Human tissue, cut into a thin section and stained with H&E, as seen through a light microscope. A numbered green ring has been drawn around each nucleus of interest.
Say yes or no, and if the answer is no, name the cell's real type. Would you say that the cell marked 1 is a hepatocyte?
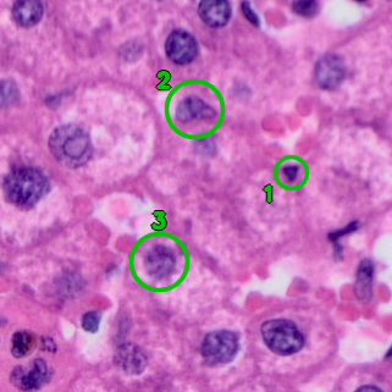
No, it is a fibroblast or stellate cell.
